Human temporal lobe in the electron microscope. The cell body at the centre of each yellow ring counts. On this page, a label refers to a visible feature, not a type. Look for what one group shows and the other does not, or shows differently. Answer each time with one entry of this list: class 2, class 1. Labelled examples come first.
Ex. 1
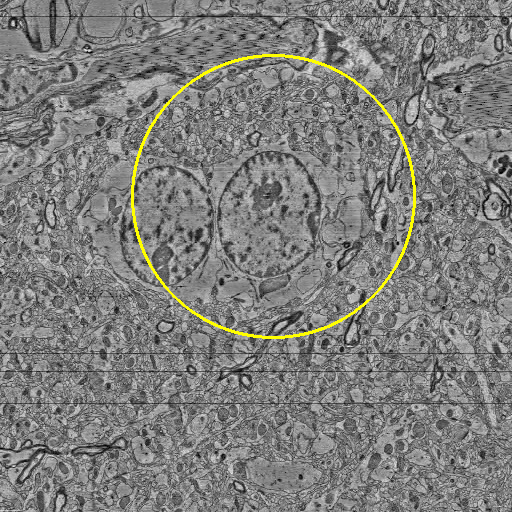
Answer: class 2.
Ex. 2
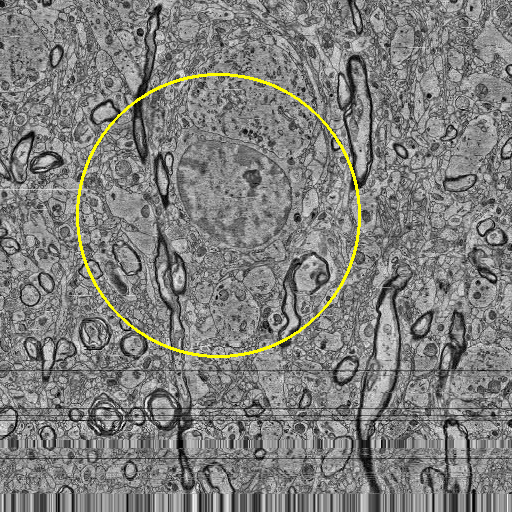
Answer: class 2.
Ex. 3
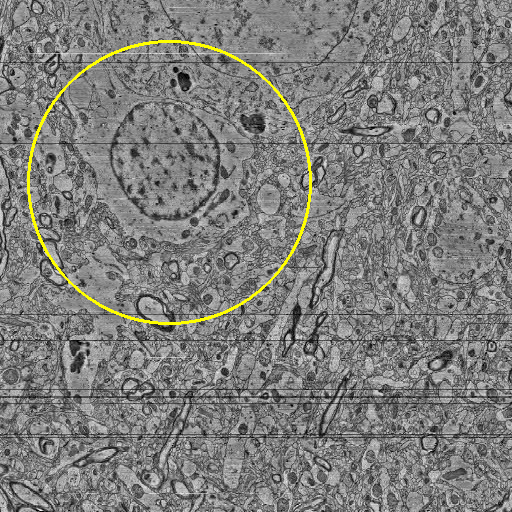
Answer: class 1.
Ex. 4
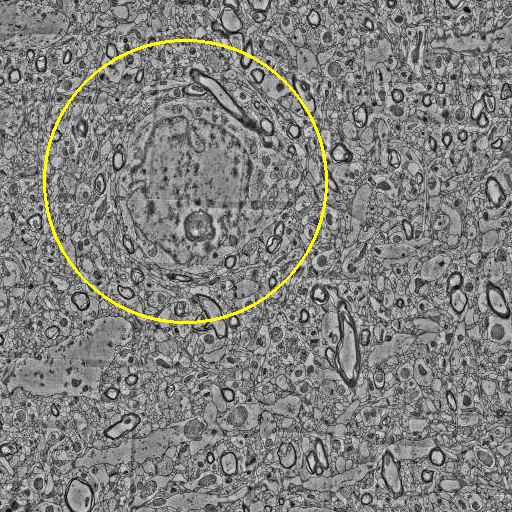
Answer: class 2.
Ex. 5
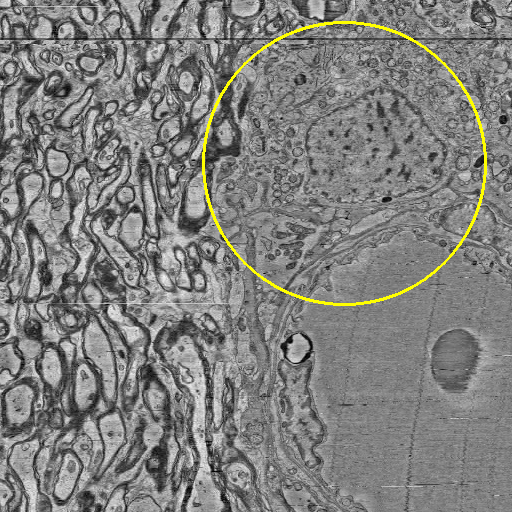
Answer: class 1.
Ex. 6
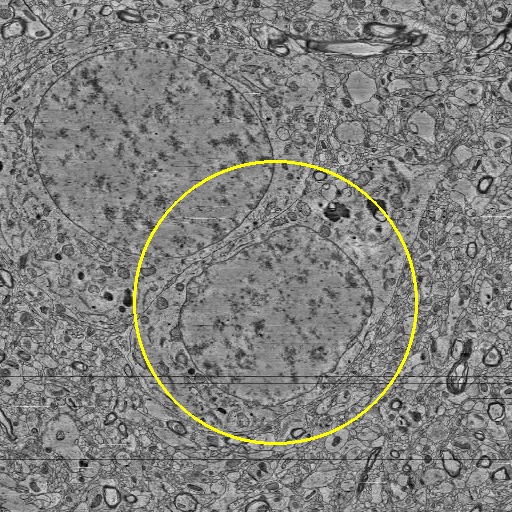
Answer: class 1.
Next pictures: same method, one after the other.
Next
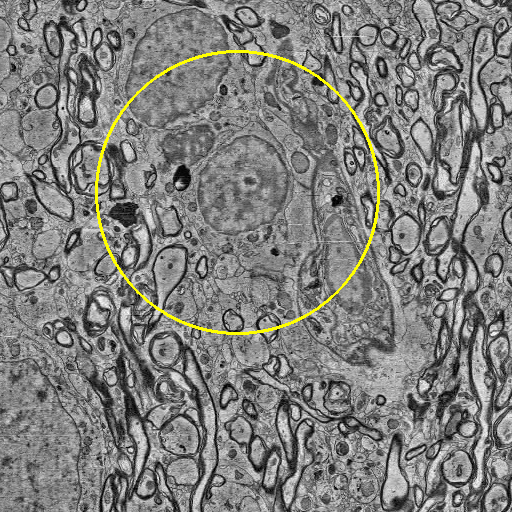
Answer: class 2.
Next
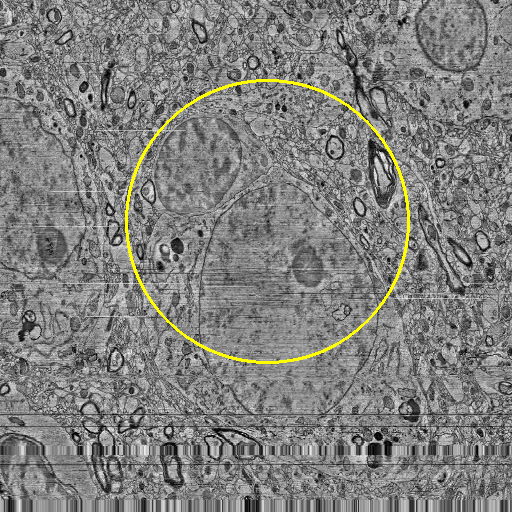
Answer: class 2.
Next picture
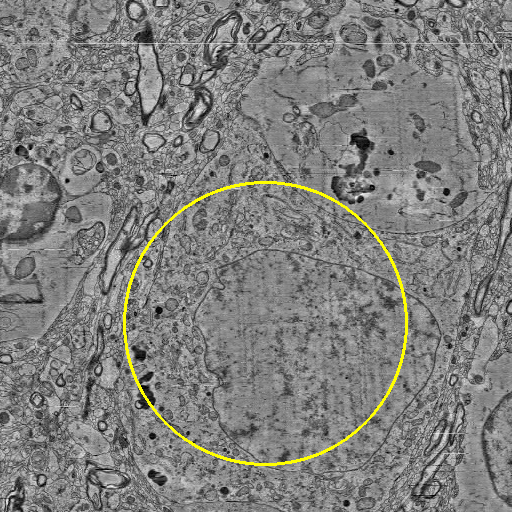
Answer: class 1.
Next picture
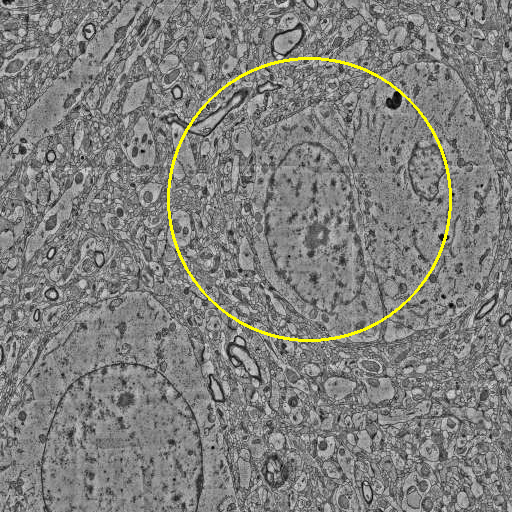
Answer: class 2.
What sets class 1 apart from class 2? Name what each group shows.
class 1, no nucleolus seen; class 2, nucleolus seen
